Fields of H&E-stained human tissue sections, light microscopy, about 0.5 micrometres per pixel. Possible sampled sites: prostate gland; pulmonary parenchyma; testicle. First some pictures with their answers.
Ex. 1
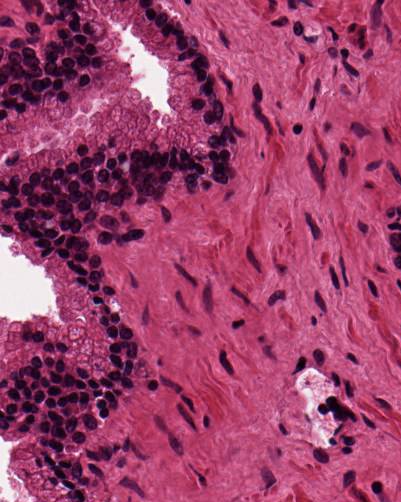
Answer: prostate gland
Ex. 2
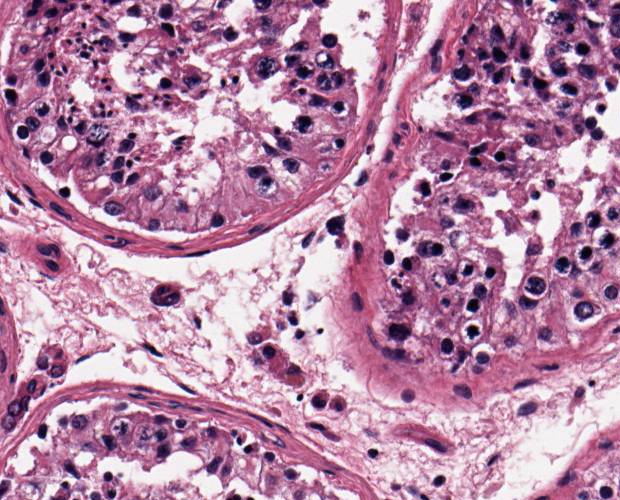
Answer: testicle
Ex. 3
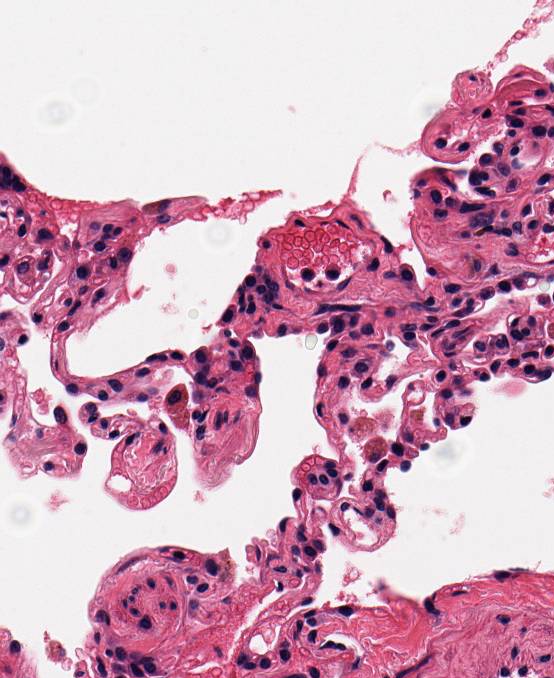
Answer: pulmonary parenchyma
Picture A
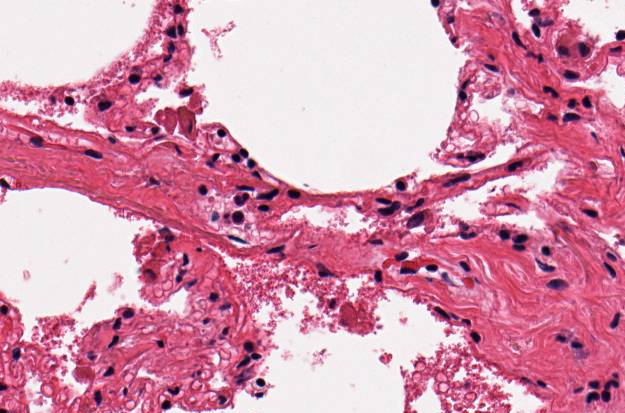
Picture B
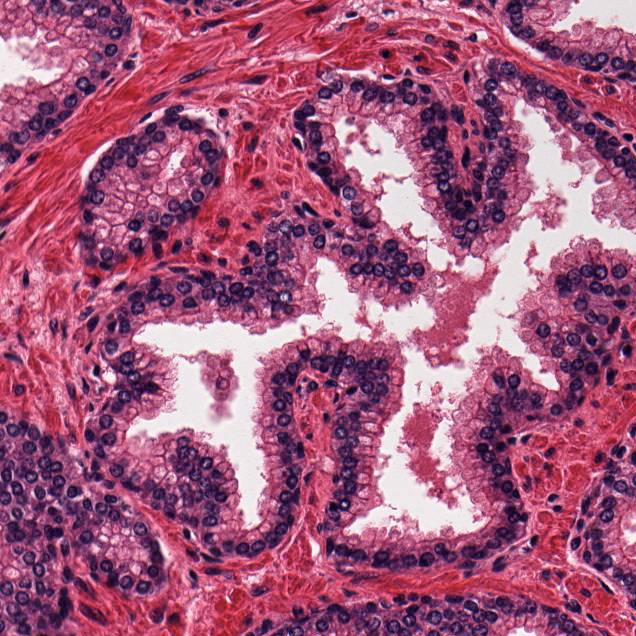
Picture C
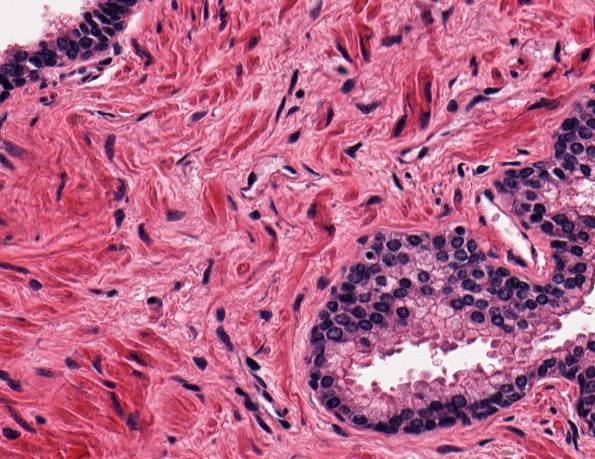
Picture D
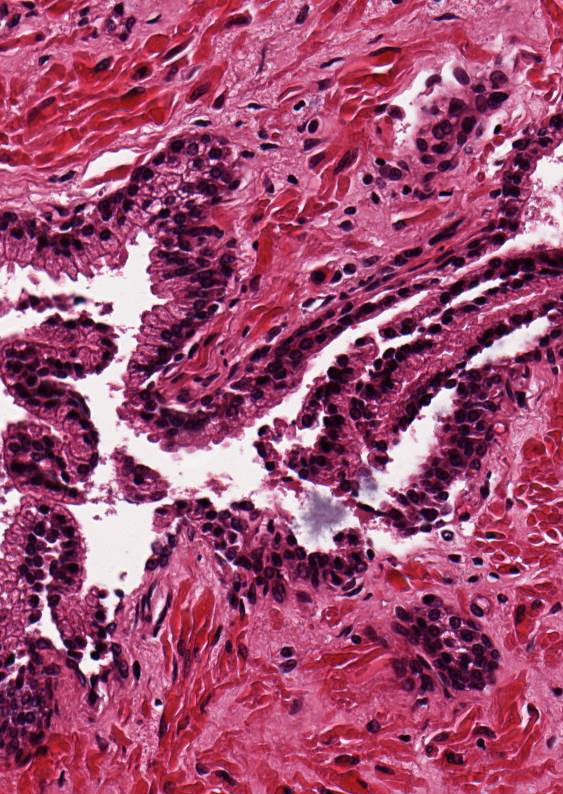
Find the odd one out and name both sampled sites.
A differs and shows pulmonary parenchyma; the others show prostate gland.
